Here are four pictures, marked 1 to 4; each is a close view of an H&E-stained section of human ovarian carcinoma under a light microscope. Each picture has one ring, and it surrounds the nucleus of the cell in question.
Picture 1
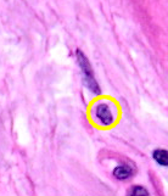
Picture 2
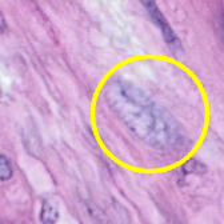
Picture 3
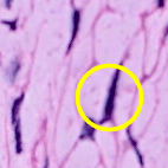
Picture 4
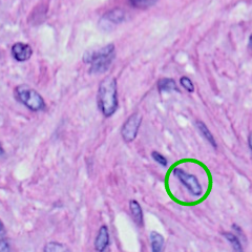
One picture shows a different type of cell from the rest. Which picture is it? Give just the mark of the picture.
1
